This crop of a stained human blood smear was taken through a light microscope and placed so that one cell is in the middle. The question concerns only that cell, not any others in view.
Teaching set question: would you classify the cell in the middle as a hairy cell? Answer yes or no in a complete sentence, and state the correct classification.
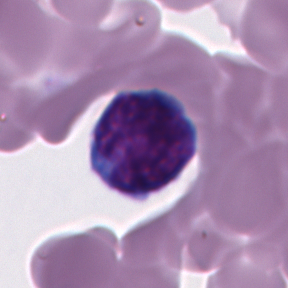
No, what is centred in the crop is not a hairy cell but a typical lymphocyte.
